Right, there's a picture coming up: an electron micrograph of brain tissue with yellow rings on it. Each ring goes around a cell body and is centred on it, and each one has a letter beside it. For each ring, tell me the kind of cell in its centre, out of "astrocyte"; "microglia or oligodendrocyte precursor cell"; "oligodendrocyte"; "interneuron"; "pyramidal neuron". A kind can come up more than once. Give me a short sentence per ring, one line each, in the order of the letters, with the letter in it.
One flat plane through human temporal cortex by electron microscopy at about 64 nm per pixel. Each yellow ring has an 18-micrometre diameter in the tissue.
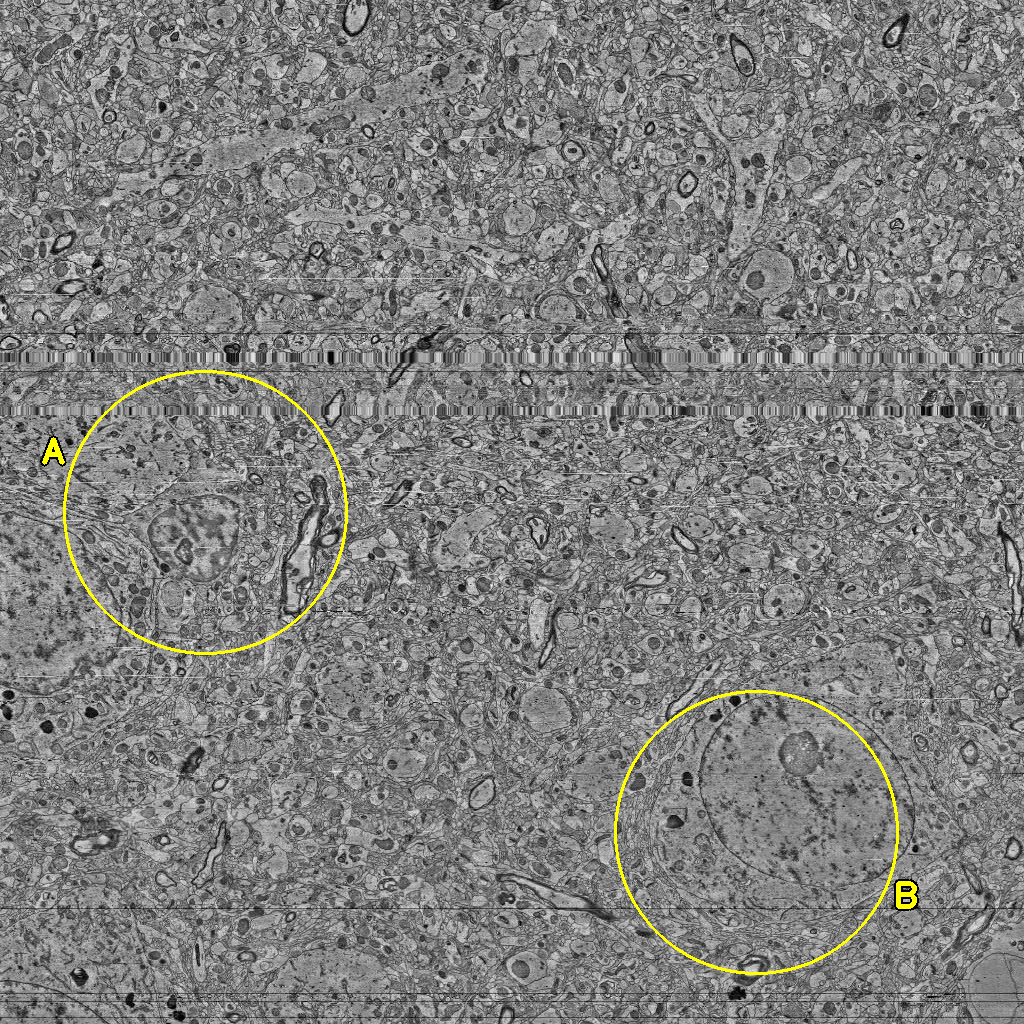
That's an oligodendrocyte in ring A.
That's a pyramidal neuron in ring B.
